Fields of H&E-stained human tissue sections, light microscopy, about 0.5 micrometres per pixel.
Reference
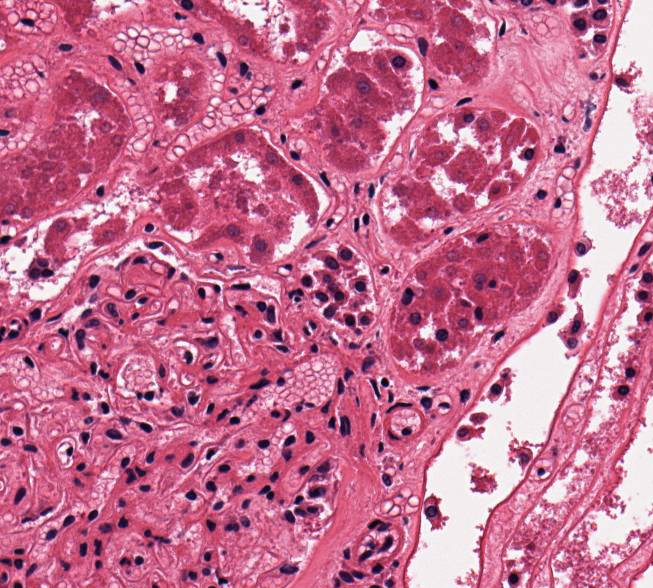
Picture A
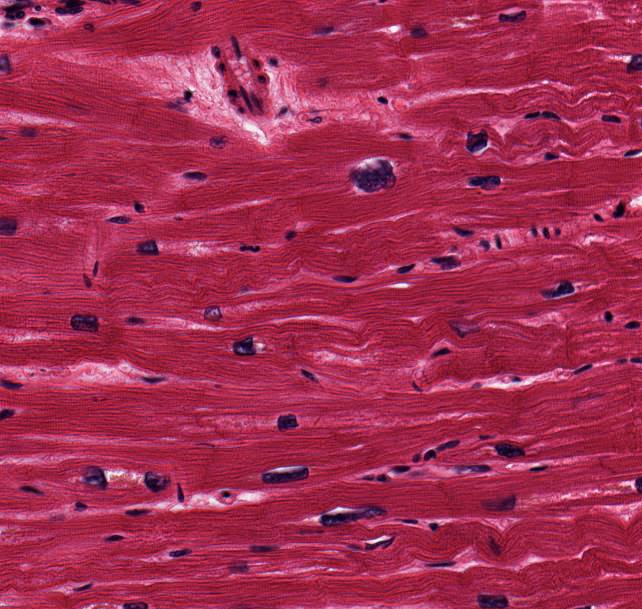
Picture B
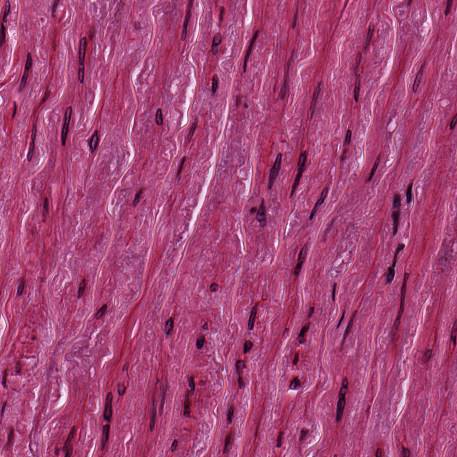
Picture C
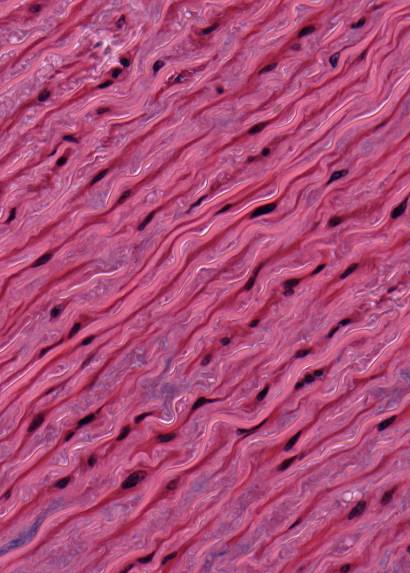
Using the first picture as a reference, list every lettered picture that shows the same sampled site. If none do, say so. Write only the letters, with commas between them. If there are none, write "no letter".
no letter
